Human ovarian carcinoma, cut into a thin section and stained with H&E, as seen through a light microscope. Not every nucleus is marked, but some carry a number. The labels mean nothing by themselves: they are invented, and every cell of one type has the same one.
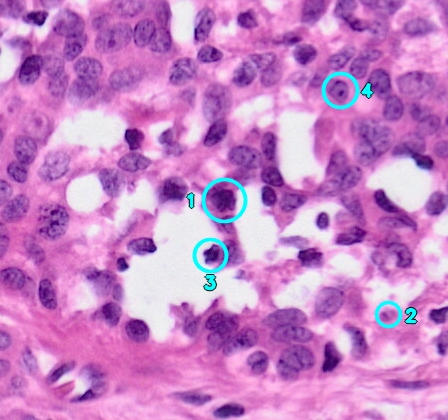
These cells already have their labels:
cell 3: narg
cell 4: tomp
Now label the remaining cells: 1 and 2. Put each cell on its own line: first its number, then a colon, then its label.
1: narg
2: tomp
